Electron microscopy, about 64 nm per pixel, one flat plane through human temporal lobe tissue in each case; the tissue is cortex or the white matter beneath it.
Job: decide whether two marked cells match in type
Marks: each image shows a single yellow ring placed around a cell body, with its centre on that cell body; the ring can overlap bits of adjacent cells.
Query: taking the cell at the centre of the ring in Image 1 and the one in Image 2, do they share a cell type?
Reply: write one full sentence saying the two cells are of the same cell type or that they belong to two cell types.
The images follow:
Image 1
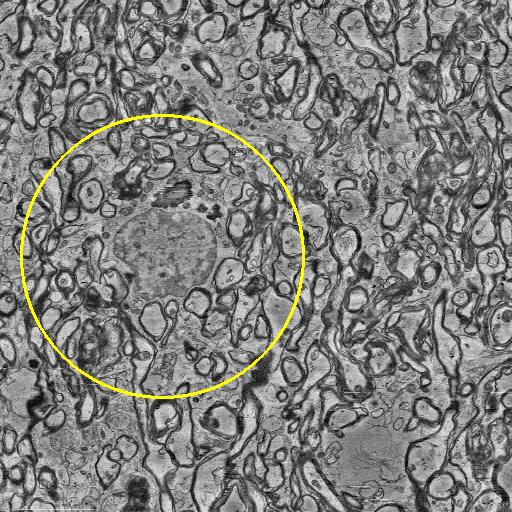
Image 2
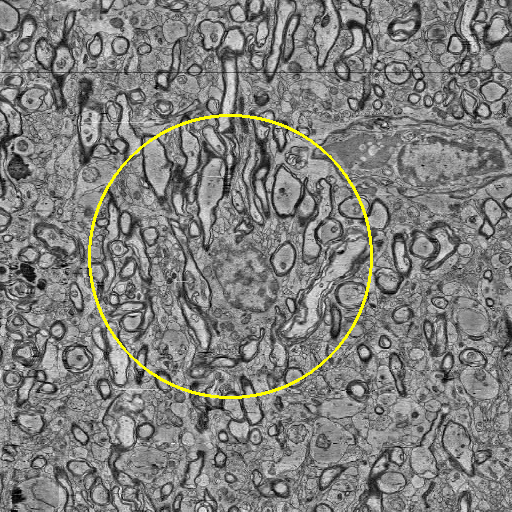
The cells at the ring centres in Image 1 and Image 2 are of the same cell type.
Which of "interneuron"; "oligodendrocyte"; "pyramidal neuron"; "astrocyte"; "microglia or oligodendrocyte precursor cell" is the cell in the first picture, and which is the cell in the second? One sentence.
Each cell, in the first picture and the second, is an oligodendrocyte.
